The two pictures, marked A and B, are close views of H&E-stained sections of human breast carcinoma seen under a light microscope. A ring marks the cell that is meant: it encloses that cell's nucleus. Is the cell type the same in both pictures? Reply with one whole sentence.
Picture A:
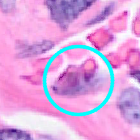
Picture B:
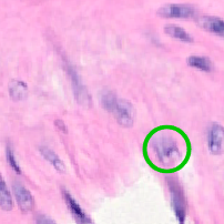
Yes; the cells in both pictures are endothelial cells.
